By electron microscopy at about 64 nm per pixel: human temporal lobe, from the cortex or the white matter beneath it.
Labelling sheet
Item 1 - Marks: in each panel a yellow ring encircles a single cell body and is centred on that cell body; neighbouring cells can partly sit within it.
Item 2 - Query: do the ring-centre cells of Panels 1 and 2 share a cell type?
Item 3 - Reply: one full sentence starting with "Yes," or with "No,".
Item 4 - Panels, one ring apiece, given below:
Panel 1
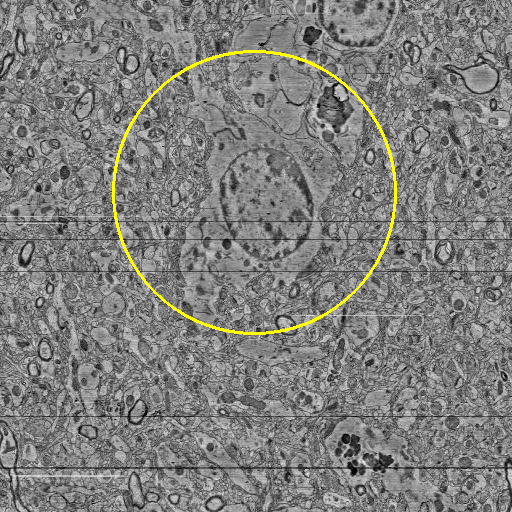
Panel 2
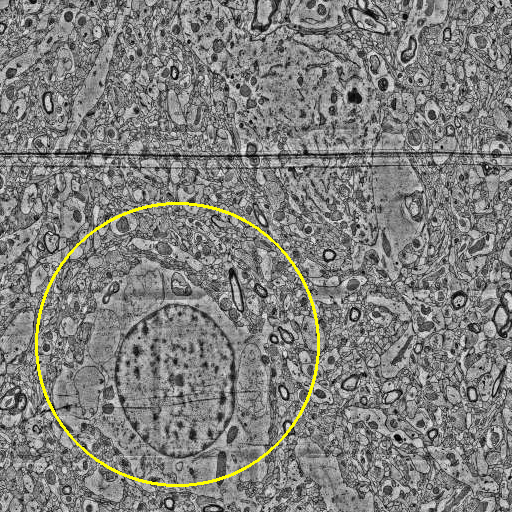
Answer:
Yes, Panel 1 and Panel 2 show one cell type at the centres of their rings.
